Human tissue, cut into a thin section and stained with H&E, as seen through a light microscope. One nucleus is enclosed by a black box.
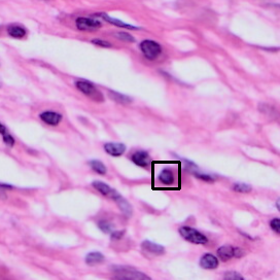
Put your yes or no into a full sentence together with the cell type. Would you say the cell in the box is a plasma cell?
Yes, the naming of the cell in the box as a plasma cell is correct.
